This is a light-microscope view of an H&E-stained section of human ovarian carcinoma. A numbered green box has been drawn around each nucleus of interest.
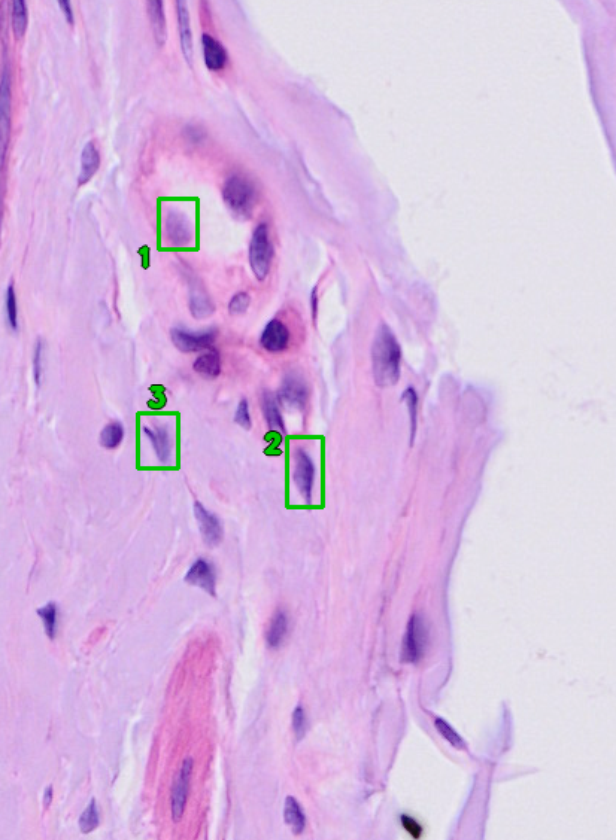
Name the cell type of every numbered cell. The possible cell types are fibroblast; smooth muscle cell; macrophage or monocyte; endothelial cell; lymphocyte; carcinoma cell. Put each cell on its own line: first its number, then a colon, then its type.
1: endothelial cell
2: fibroblast
3: fibroblast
